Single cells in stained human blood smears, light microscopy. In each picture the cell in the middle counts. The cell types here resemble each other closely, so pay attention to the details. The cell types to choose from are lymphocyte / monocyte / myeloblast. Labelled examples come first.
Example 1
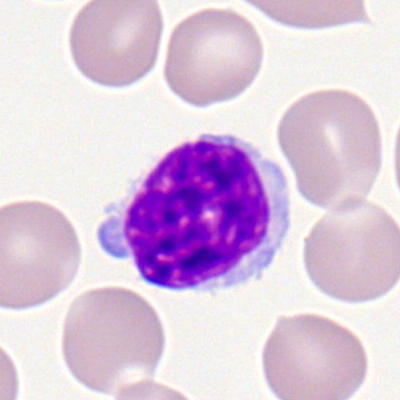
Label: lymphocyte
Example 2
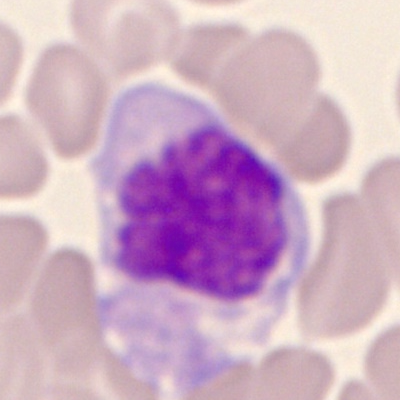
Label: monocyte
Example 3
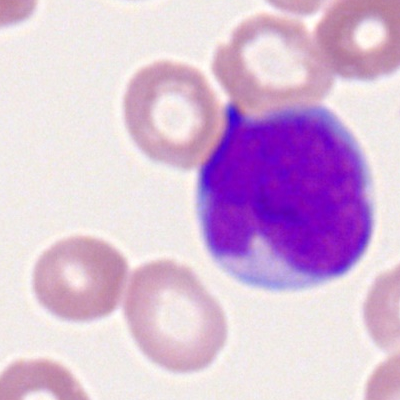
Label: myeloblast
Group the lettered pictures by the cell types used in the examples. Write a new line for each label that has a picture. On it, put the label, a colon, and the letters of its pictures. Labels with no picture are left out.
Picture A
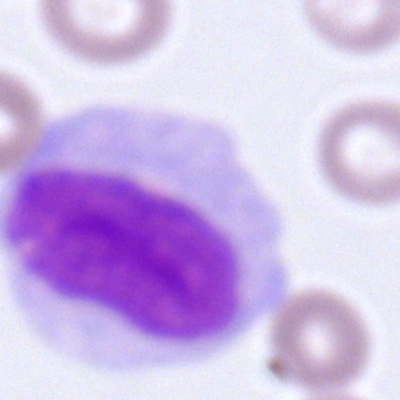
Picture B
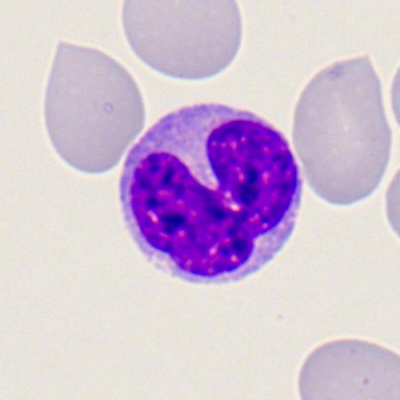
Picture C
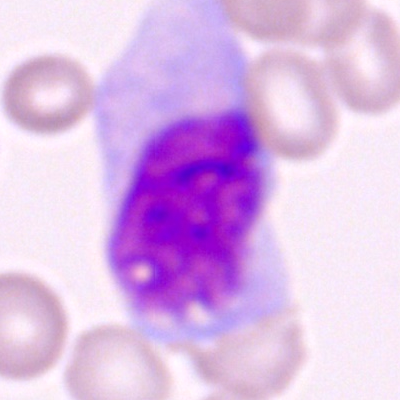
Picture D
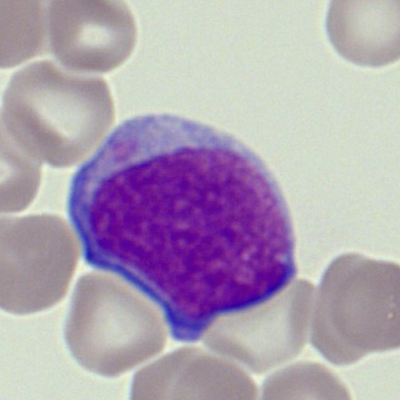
monocyte: A, B, C
myeloblast: D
